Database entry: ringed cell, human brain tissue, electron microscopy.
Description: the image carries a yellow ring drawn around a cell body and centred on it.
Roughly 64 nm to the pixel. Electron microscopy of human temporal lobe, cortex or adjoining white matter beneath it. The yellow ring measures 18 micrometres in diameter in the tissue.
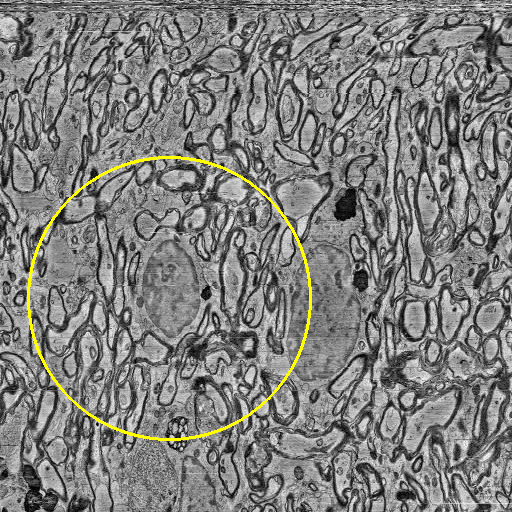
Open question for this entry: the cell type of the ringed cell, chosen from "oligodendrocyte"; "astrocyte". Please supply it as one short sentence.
The ringed cell is an oligodendrocyte.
